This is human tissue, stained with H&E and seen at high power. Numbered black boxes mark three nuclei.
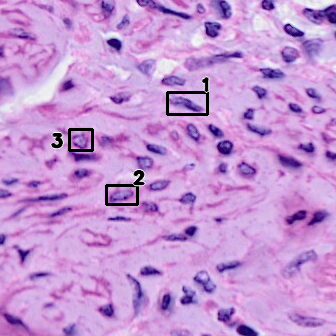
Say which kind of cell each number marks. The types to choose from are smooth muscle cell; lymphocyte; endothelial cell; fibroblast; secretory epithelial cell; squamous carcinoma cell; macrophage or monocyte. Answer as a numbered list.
1. fibroblast
2. smooth muscle cell
3. smooth muscle cell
